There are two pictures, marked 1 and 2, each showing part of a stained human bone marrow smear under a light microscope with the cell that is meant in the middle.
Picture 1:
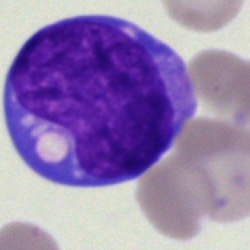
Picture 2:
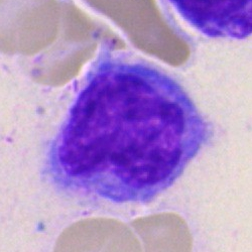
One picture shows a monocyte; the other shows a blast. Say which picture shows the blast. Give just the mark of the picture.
1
